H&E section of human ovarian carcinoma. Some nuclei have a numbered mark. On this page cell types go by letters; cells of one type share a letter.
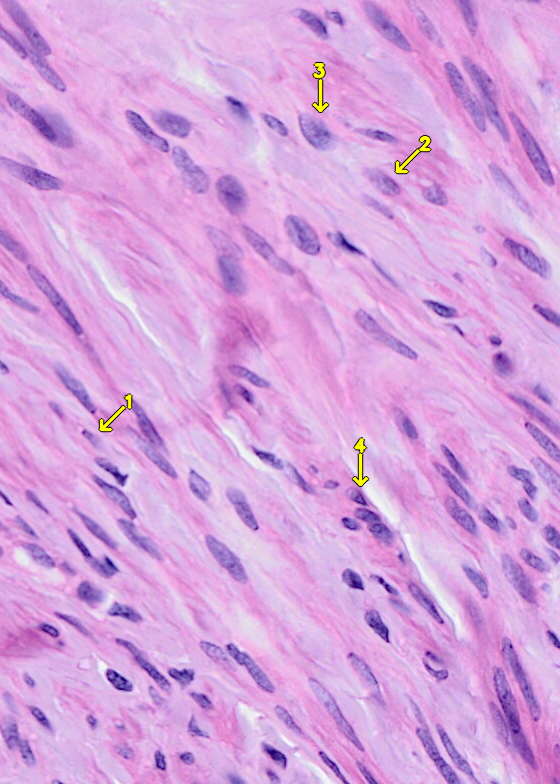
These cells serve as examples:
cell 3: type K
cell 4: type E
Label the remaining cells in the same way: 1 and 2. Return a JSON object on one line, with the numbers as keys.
{"1": "type E", "2": "type E"}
